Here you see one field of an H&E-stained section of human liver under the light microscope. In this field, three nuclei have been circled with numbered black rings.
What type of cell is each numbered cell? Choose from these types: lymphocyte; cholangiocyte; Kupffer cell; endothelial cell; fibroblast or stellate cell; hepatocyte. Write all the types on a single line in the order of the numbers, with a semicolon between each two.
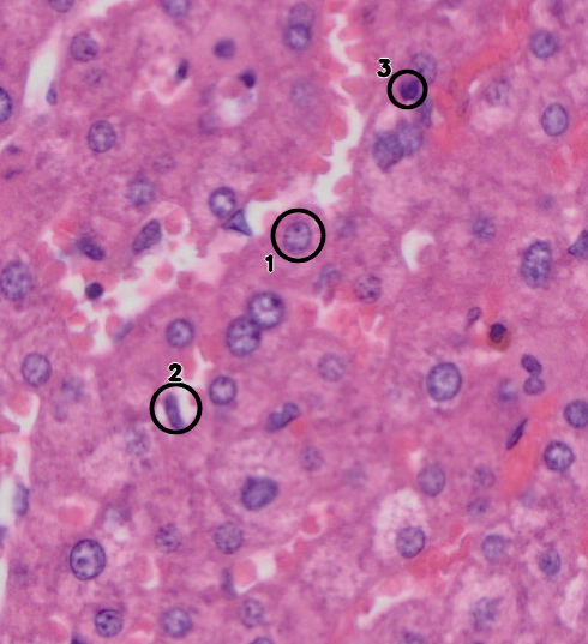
hepatocyte; Kupffer cell; fibroblast or stellate cell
